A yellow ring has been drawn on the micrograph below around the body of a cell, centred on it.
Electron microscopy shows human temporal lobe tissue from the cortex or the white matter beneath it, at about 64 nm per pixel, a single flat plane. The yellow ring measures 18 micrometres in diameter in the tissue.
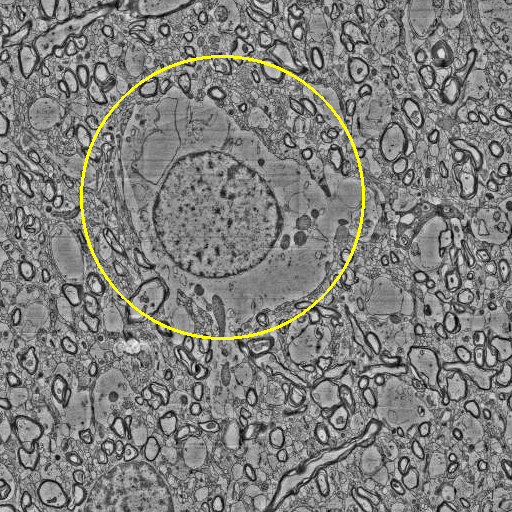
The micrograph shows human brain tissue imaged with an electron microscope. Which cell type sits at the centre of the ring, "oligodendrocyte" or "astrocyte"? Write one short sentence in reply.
The cell sitting at the centre of the ring is an astrocyte.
